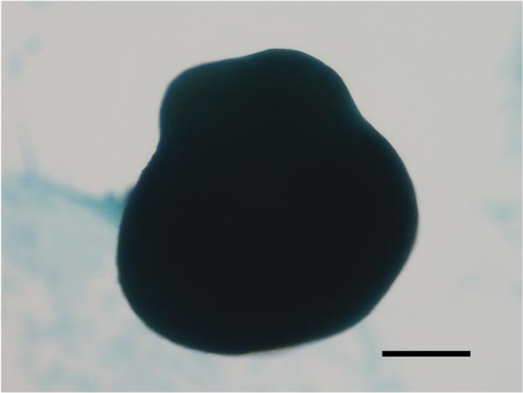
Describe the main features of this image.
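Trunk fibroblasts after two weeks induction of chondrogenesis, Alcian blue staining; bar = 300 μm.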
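The outline is irregular and lobed rather than round, with a bulge at the upper edge. Individual cells cannot be made out within the mass. A thin, faintly blue-stained sheet spreads out from its left border into the surrounding field.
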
